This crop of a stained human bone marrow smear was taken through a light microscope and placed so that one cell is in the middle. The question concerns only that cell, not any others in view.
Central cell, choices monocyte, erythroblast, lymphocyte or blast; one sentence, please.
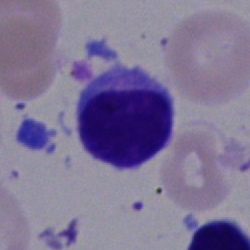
Where the crop is centred, there is a lymphocyte.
